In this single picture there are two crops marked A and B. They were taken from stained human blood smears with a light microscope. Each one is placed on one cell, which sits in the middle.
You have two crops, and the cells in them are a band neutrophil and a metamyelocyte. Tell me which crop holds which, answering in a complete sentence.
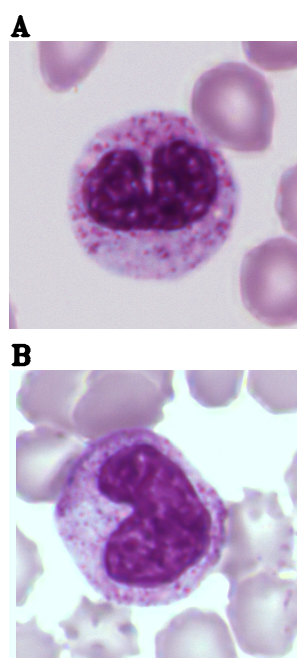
In crop A, a band neutrophil is present; in crop B, a metamyelocyte is present.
